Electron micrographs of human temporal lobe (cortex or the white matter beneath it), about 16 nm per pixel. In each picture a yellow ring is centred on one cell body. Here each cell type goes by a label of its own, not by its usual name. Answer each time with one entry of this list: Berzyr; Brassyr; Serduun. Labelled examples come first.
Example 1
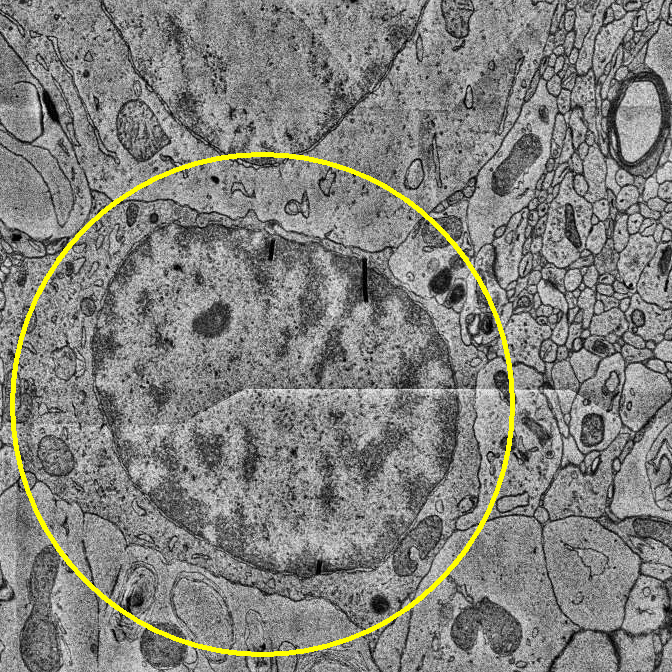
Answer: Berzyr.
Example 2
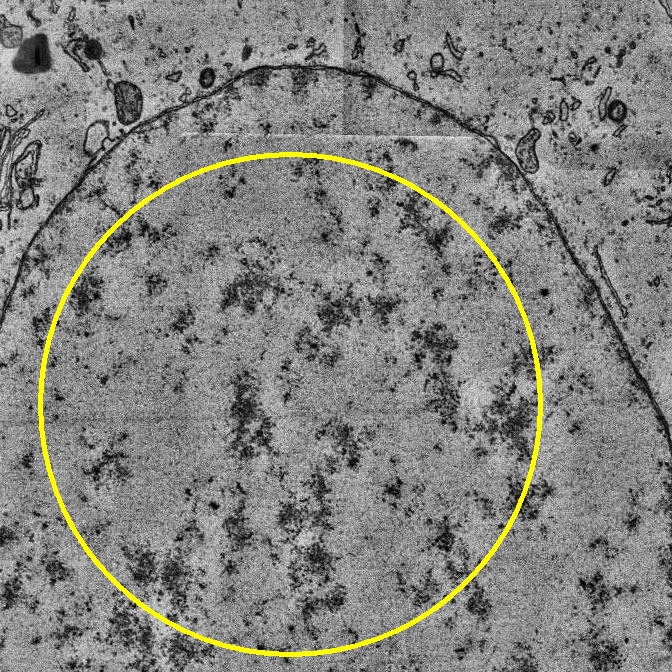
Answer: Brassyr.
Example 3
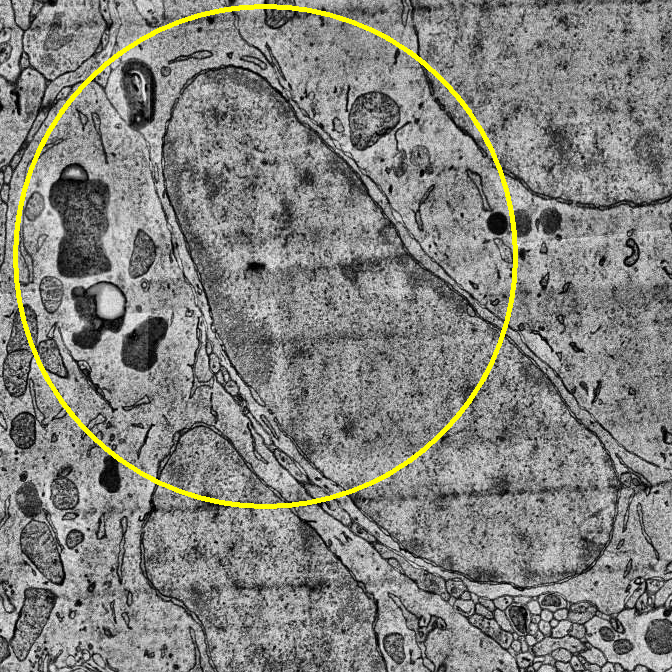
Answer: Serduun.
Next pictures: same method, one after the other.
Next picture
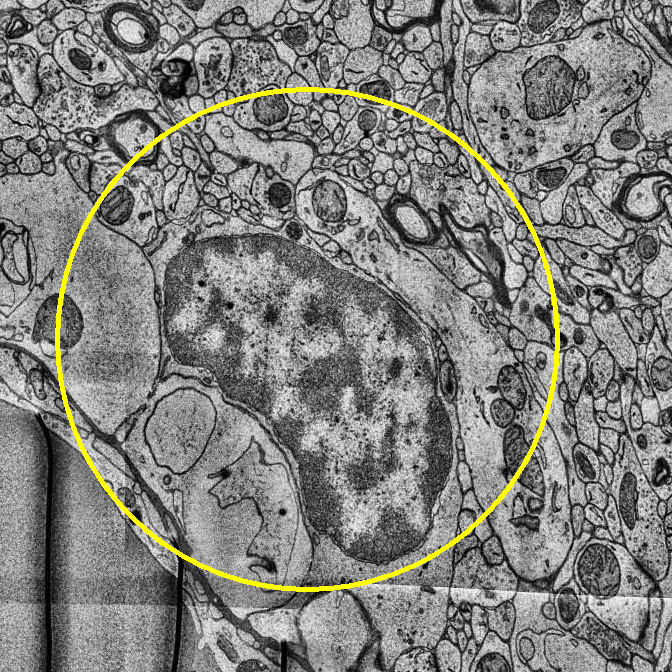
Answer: Serduun.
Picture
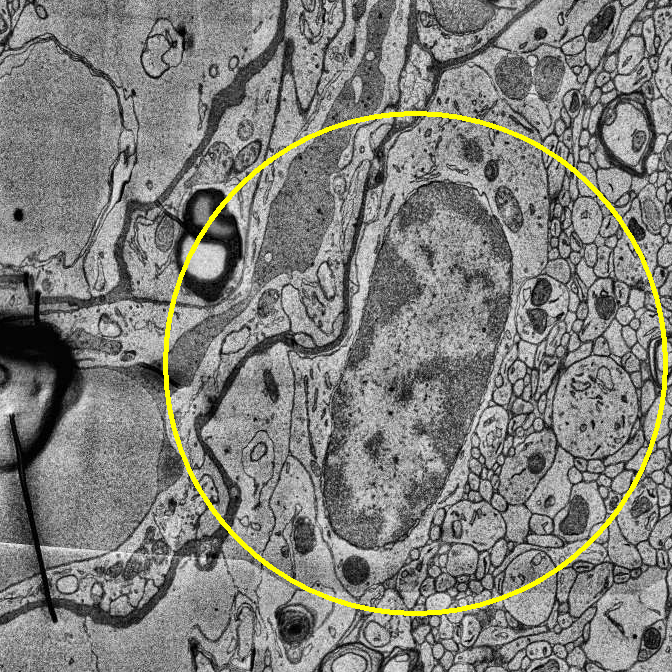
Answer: Serduun.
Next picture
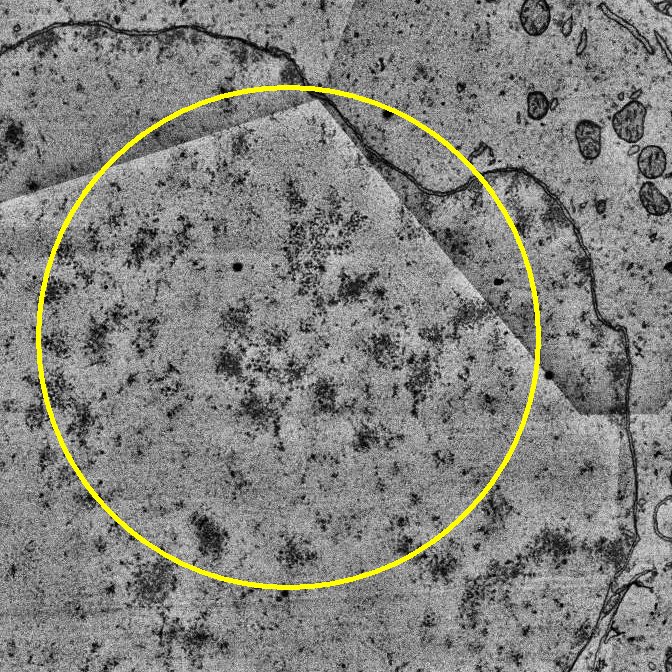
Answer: Brassyr.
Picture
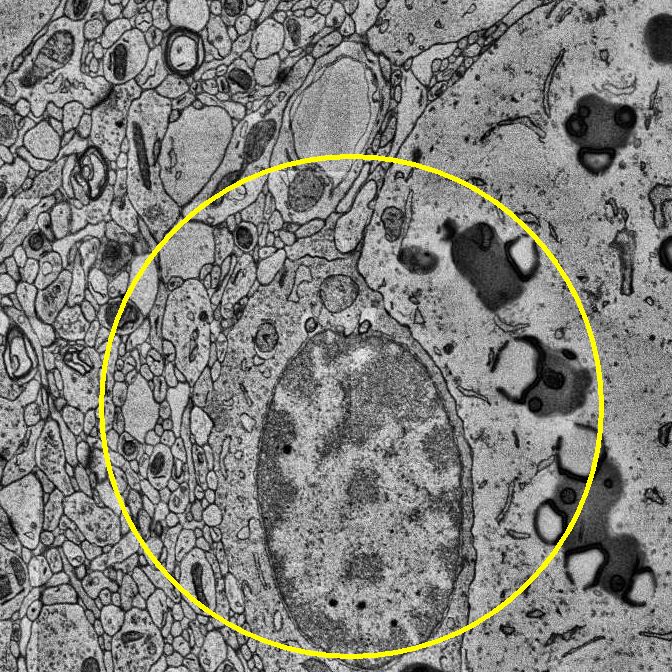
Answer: Berzyr.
